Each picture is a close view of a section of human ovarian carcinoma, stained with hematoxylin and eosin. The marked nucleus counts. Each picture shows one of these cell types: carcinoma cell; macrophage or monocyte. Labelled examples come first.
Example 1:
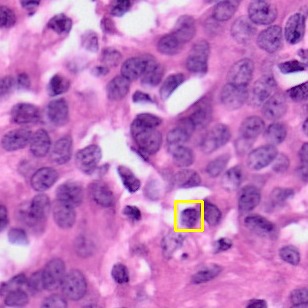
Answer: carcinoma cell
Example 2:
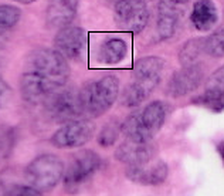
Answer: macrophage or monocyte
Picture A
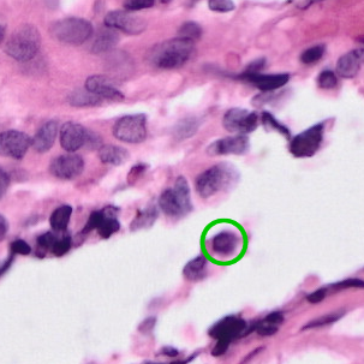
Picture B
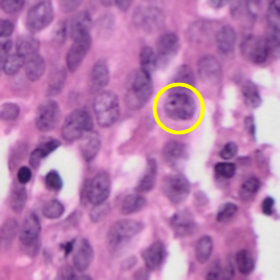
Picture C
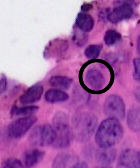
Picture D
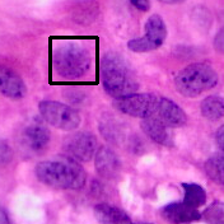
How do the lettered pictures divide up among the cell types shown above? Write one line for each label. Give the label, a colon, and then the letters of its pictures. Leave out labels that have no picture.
carcinoma cell: A, C, D
macrophage or monocyte: B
